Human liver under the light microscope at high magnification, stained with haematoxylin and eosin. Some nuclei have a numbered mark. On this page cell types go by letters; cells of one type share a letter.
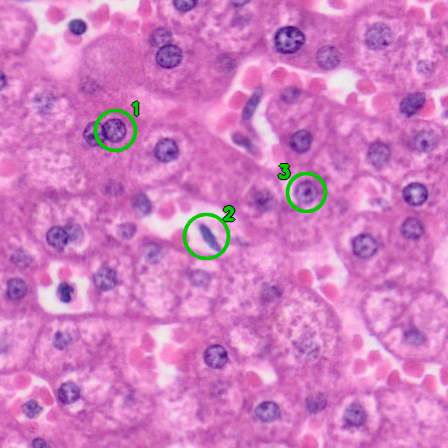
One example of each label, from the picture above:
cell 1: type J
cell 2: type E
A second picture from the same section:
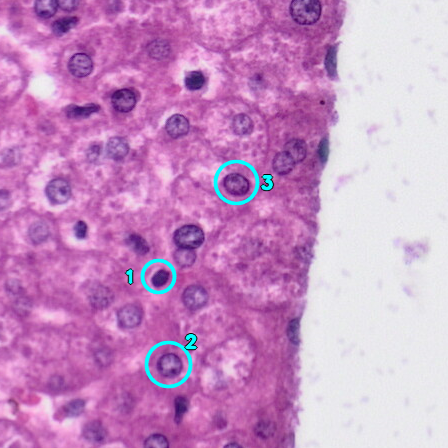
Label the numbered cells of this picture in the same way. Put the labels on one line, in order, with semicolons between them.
type E; type J; type J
